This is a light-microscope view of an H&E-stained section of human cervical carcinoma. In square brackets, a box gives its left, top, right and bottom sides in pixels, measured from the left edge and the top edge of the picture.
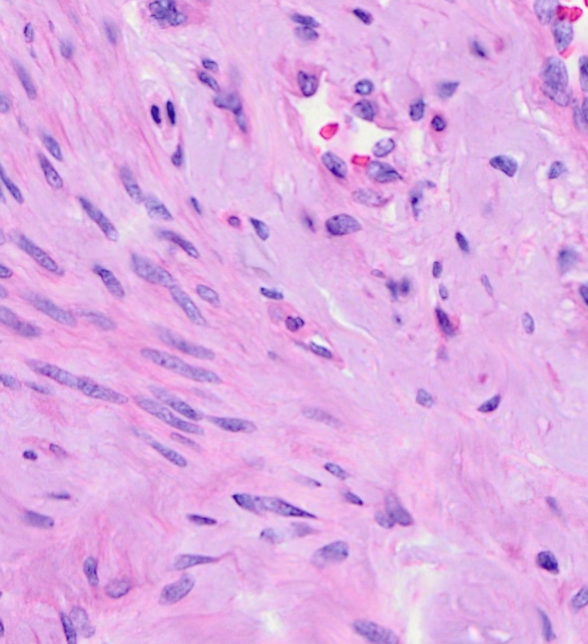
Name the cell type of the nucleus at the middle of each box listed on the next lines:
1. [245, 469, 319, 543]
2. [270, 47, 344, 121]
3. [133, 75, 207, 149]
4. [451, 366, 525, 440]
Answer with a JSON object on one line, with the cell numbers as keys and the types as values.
{"1": "fibroblast", "2": "endothelial cell", "3": "lymphocyte", "4": "fibroblast"}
